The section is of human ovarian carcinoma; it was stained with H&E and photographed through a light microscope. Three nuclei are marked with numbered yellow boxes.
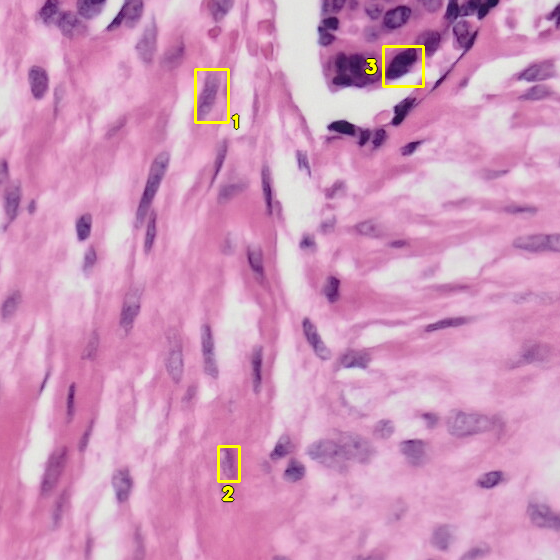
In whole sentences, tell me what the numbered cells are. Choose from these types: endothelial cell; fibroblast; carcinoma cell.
Cell 1 is a fibroblast, cell 2 is a fibroblast and cell 3 is a carcinoma cell.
